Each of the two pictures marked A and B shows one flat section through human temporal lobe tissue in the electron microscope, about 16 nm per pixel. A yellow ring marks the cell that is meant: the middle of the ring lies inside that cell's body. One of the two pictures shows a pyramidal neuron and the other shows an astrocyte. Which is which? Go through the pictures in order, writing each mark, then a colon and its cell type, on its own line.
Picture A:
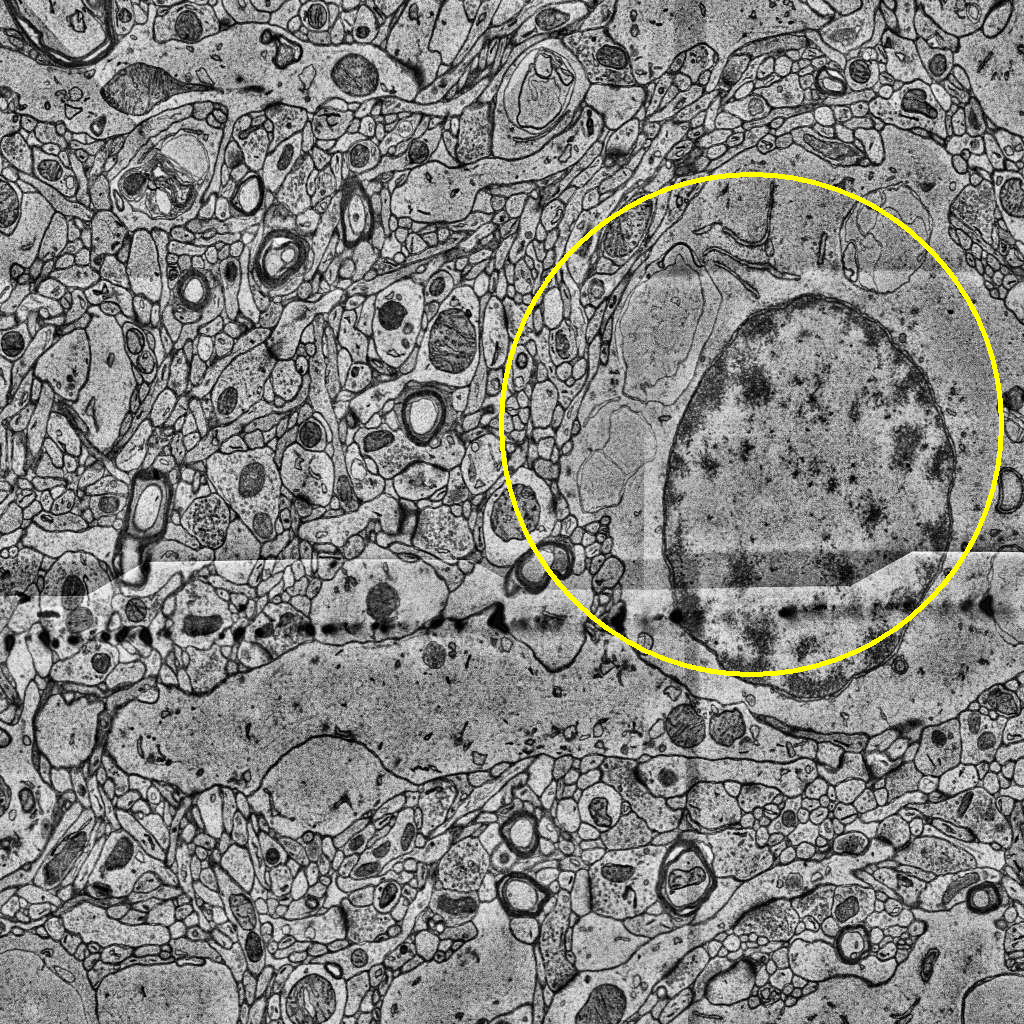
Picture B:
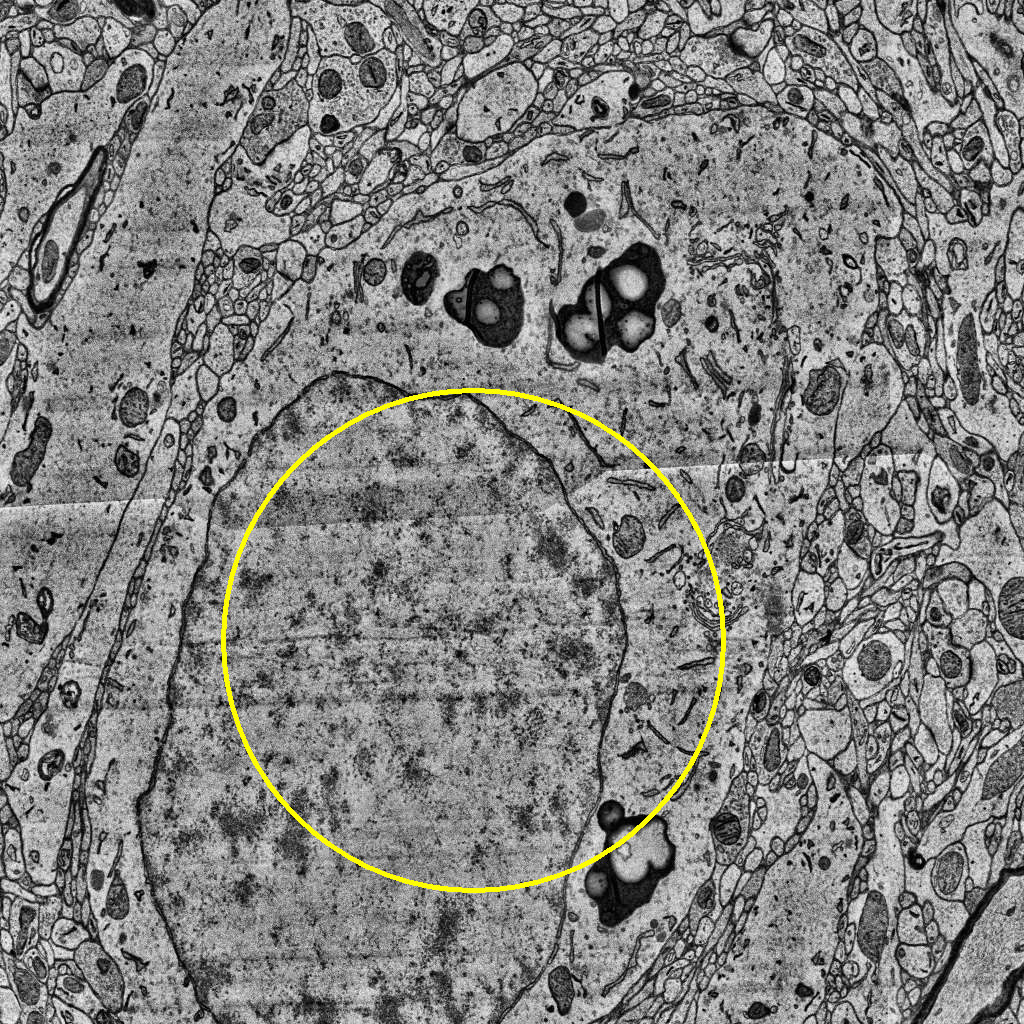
A: astrocyte
B: pyramidal neuron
